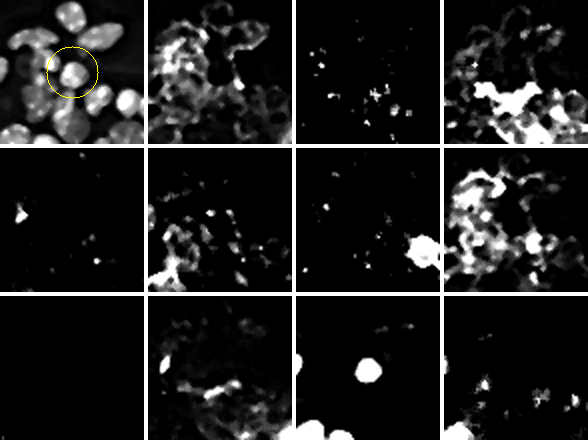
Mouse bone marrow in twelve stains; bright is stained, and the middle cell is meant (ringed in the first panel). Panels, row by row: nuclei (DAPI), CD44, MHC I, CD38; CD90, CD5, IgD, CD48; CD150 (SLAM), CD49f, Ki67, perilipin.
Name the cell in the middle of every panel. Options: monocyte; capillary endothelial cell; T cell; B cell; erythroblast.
erythroblast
